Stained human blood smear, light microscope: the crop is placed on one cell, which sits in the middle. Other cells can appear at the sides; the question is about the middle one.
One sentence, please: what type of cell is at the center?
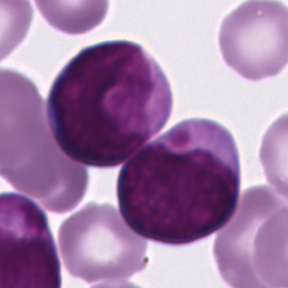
The cell at the centre of the field is a blast.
